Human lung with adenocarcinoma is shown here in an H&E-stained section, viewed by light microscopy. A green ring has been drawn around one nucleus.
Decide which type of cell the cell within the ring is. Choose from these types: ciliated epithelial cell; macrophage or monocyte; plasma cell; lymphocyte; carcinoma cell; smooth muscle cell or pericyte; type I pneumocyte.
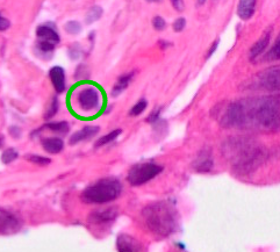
lymphocyte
